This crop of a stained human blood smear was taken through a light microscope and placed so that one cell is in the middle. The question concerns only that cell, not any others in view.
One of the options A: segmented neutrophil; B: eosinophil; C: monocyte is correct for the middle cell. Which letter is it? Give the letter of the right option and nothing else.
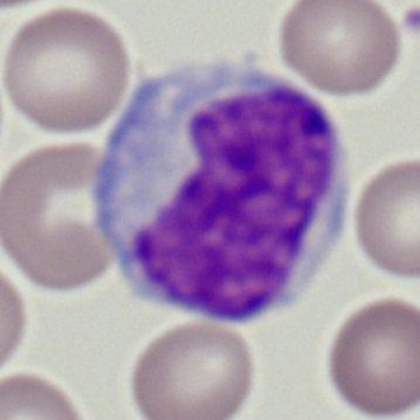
C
